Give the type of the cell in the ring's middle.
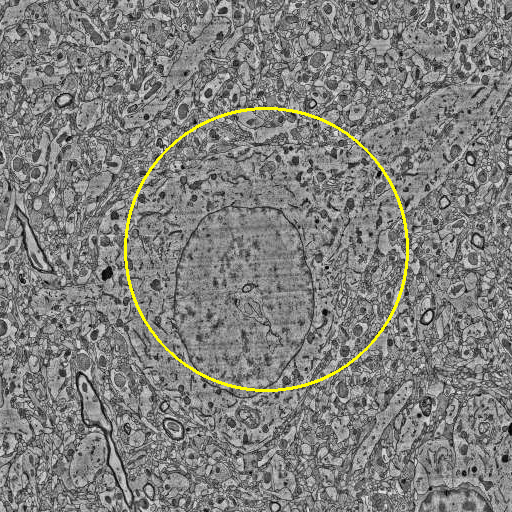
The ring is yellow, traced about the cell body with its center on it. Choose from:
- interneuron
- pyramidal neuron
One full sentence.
Here, a pyramidal neuron is the cell lying at the center of the yellow ring.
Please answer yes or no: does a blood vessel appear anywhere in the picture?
No, the picture includes no blood vessel.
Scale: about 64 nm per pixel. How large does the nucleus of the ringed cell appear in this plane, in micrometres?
In this plane, approximately 12 by 9 micrometers.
